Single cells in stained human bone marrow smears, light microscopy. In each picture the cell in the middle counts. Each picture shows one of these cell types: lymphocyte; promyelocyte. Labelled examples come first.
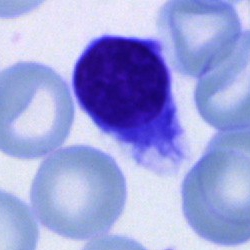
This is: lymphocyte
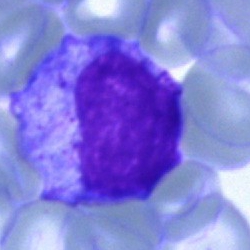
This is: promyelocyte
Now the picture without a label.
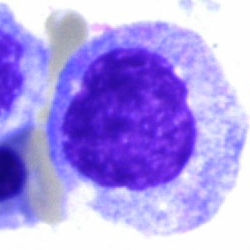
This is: promyelocyte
